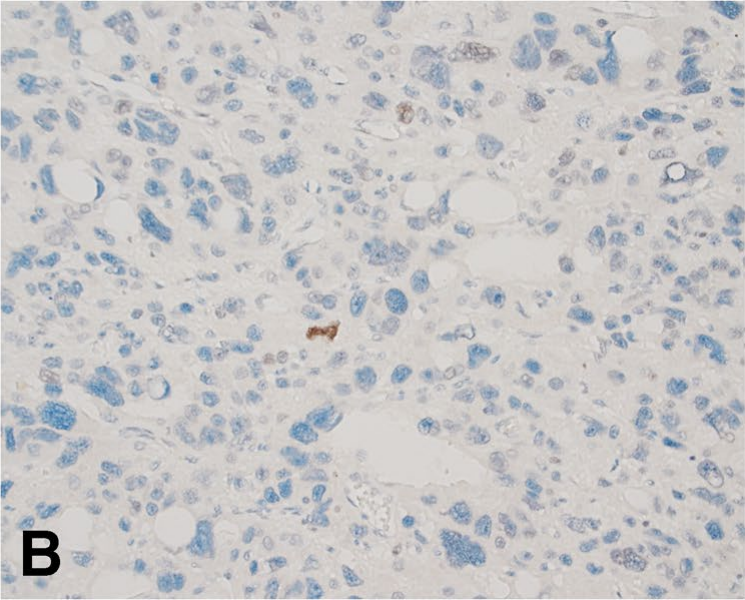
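Nearly all the tumour nuclei are plain blue, without brown, and they vary in size and shape, some large and darkly blue. Only a single cell near the centre and a few faint spots elsewhere take up brown. The pale background is cytoplasm and loose stroma, with several round clear spaces scattered through it.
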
